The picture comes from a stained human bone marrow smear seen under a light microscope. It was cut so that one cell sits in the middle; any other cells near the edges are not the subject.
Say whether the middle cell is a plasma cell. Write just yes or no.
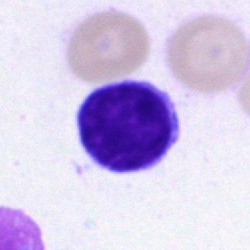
no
